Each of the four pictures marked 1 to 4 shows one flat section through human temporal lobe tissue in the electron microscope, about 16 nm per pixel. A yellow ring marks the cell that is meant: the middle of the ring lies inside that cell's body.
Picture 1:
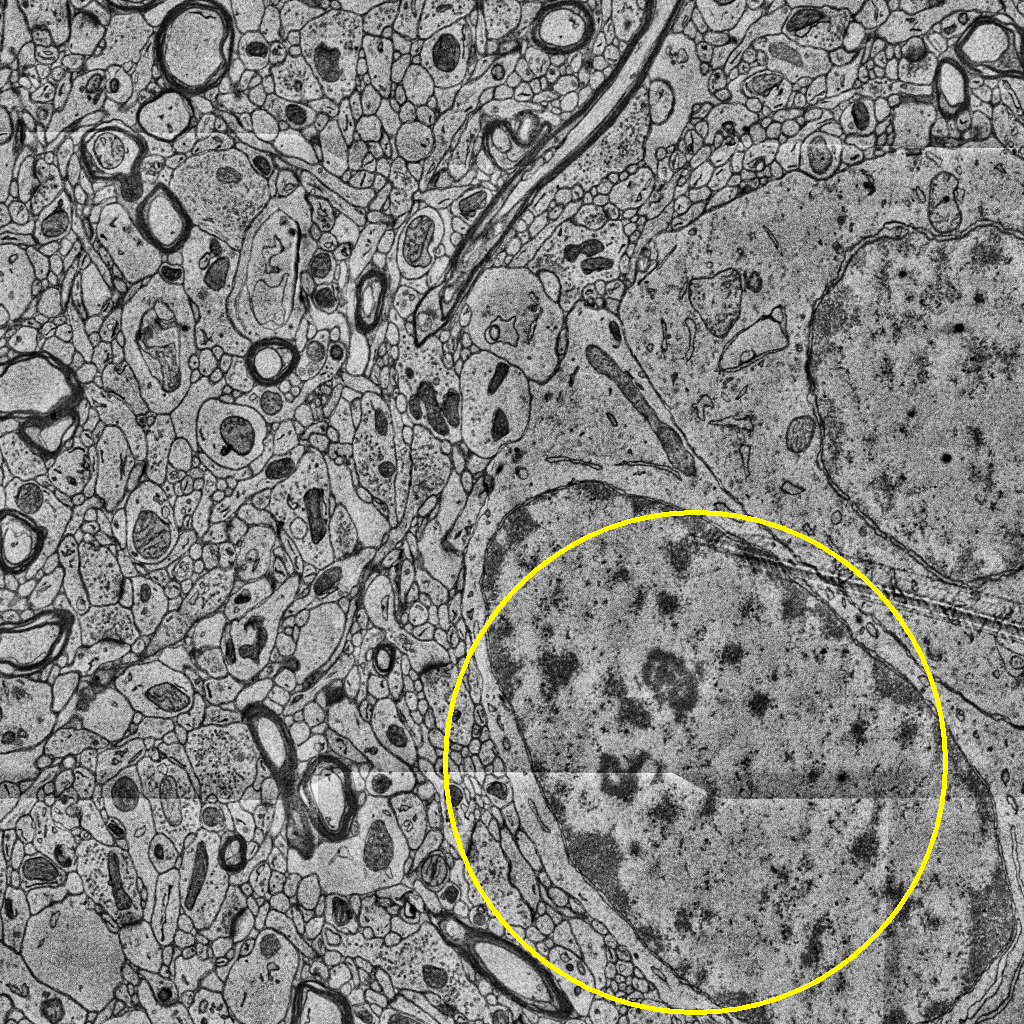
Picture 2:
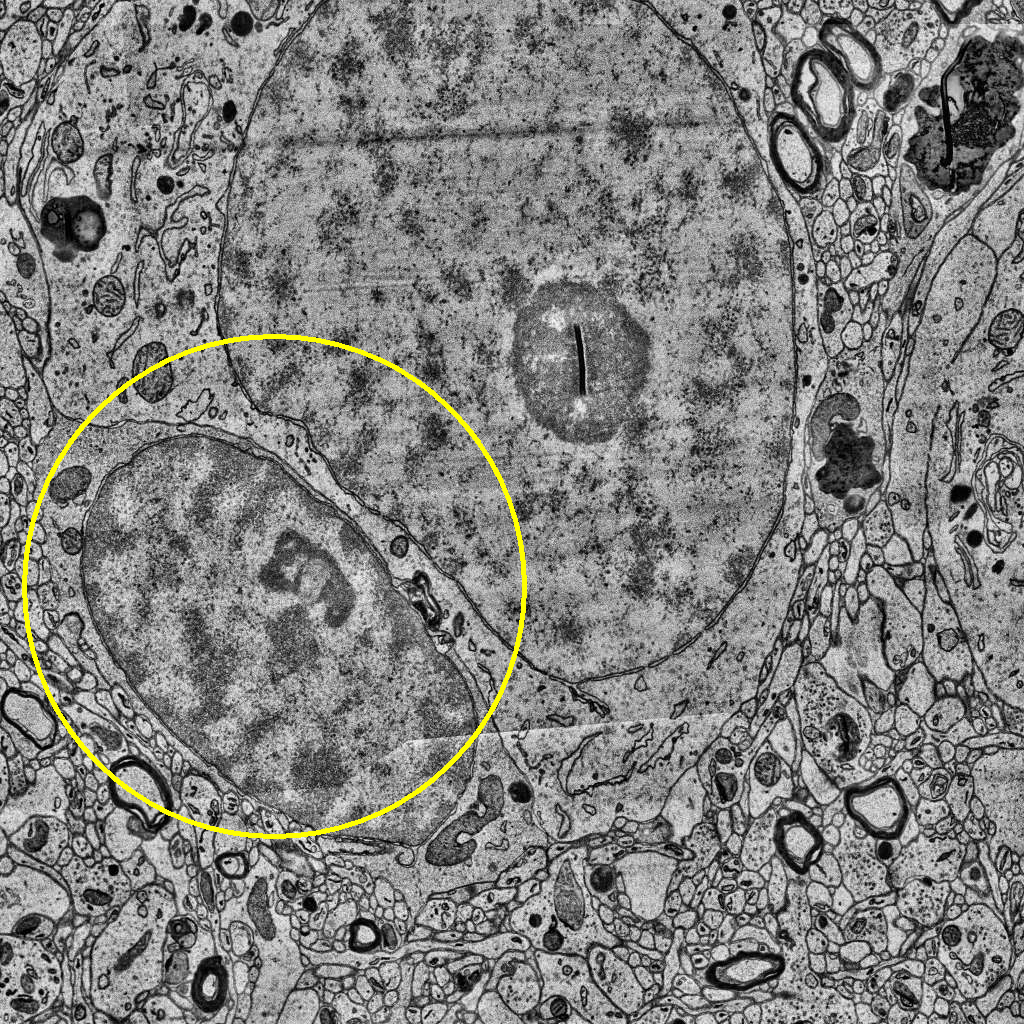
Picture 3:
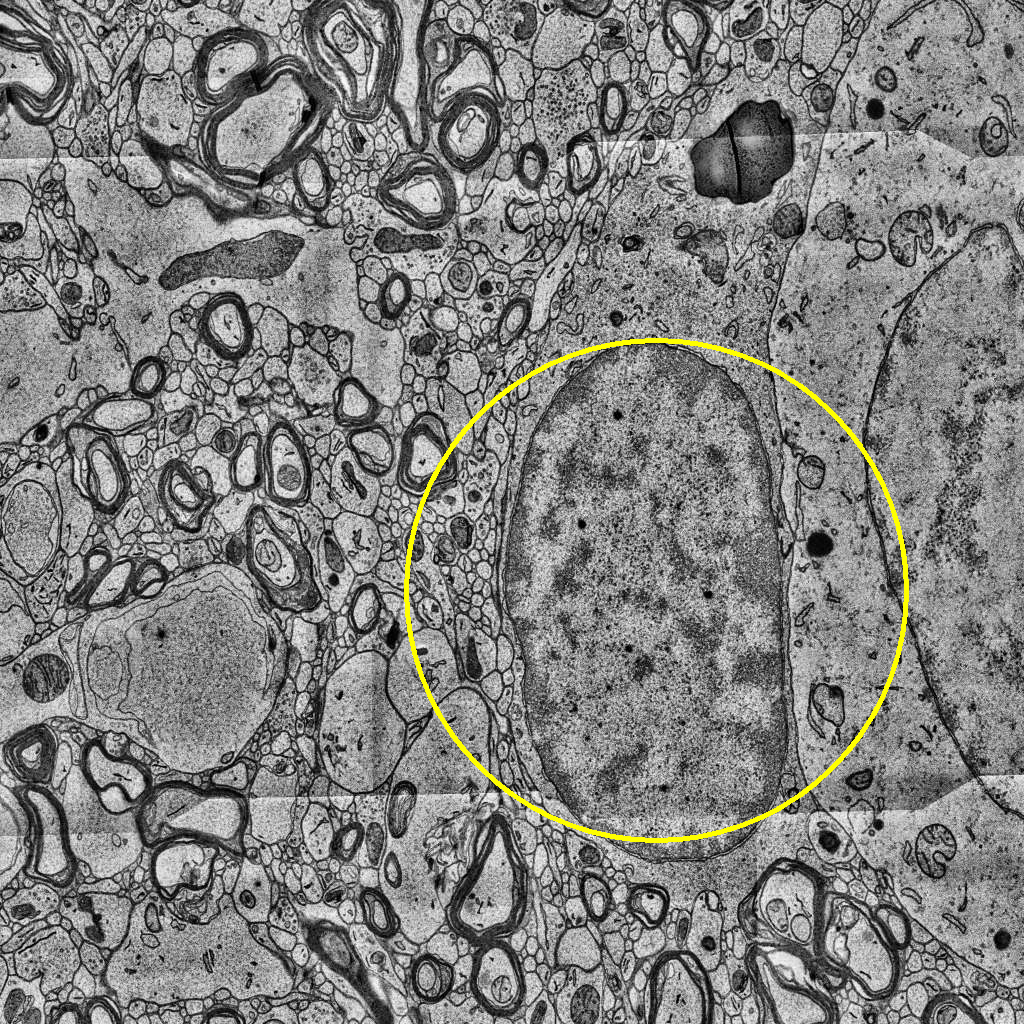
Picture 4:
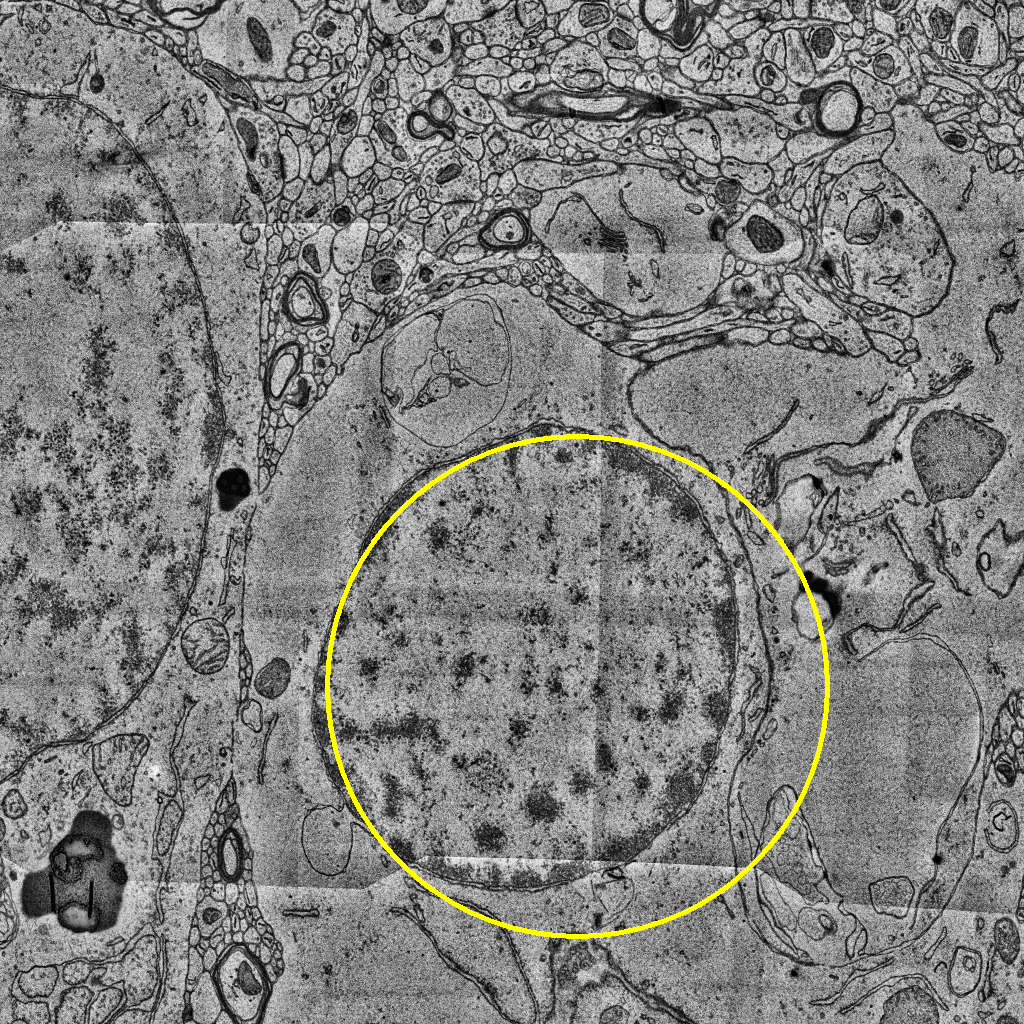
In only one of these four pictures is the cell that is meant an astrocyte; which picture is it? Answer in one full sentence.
It is picture 4 that shows the astrocyte.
